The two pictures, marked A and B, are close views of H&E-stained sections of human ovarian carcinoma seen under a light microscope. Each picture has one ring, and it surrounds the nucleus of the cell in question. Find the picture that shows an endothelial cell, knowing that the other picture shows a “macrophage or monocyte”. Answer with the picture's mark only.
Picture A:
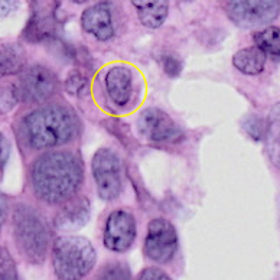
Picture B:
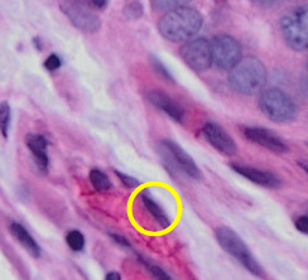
B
